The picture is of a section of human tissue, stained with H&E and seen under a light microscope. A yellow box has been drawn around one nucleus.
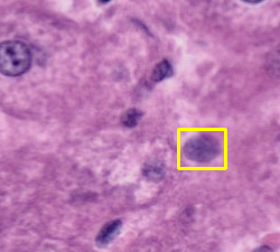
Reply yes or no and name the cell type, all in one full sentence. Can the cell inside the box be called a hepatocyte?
No, the cell inside the box is to be identified as an endothelial cell, not a hepatocyte.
